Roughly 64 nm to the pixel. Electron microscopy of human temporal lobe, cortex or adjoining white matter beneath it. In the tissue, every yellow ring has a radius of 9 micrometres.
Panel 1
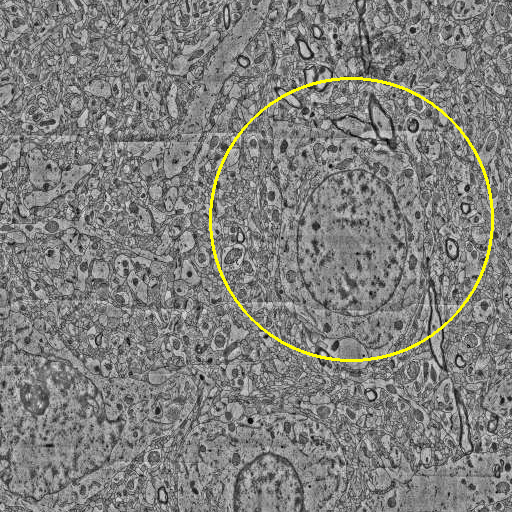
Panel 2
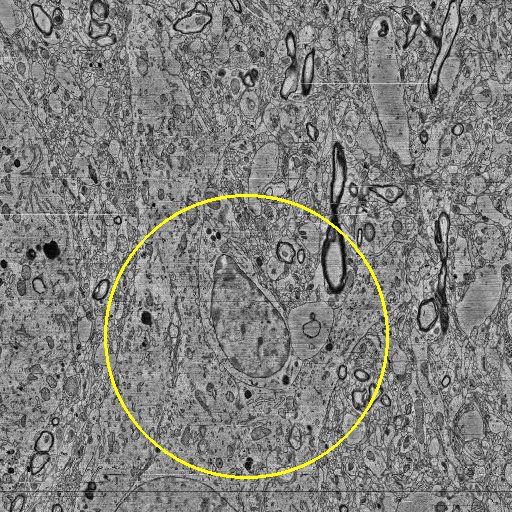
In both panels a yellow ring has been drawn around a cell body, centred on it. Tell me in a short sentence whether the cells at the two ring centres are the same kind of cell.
No, they are two kinds of cell.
